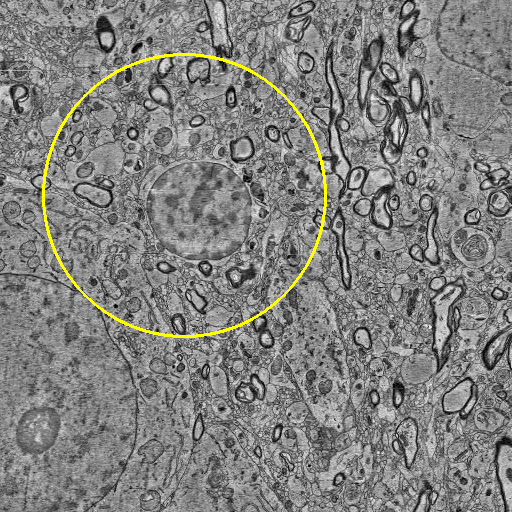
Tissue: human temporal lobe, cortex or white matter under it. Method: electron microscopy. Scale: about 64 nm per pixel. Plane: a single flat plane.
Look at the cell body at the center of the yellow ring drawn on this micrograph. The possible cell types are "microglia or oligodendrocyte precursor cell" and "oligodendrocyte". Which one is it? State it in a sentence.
The cell in the middle of the ring is a microglial cell or oligodendrocyte precursor cell.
